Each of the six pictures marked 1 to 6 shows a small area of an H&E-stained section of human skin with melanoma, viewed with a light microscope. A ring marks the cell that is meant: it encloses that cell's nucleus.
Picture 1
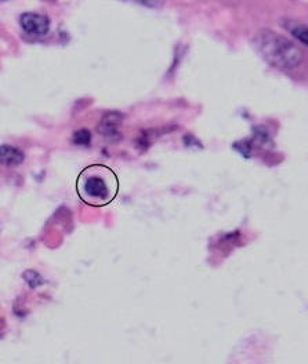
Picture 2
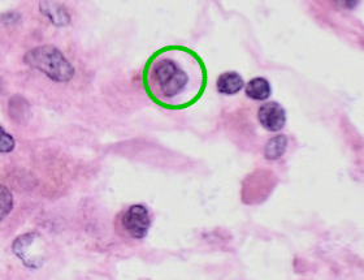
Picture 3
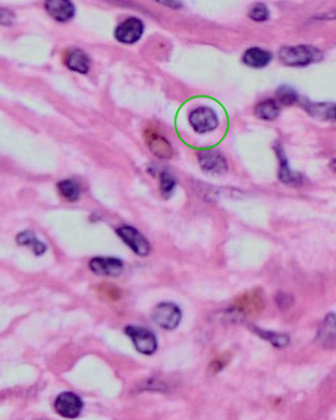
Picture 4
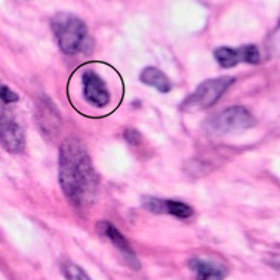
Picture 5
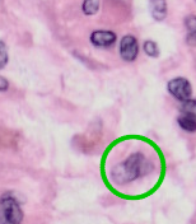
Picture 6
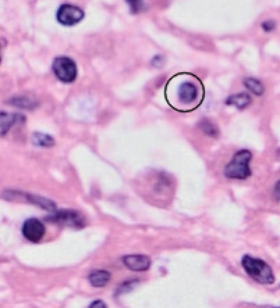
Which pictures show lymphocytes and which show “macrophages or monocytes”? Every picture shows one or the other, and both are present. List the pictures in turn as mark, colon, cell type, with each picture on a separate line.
1: lymphocyte
2: macrophage or monocyte
3: lymphocyte
4: lymphocyte
5: macrophage or monocyte
6: lymphocyte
